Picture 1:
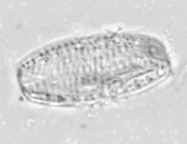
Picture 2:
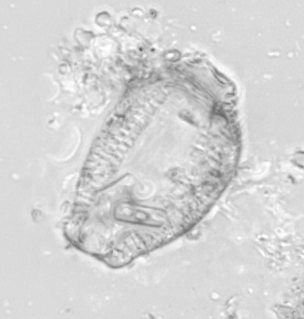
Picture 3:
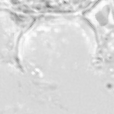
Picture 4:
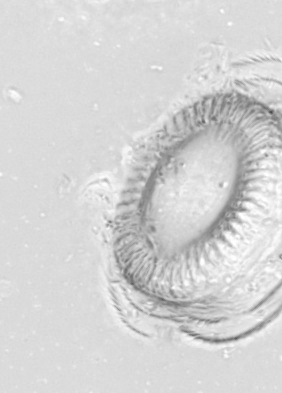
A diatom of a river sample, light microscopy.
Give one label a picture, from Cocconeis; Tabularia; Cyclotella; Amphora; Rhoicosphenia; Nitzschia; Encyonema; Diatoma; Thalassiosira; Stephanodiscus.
1: Nitzschia
2: Amphora
3: Stephanodiscus
4: Cyclotella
